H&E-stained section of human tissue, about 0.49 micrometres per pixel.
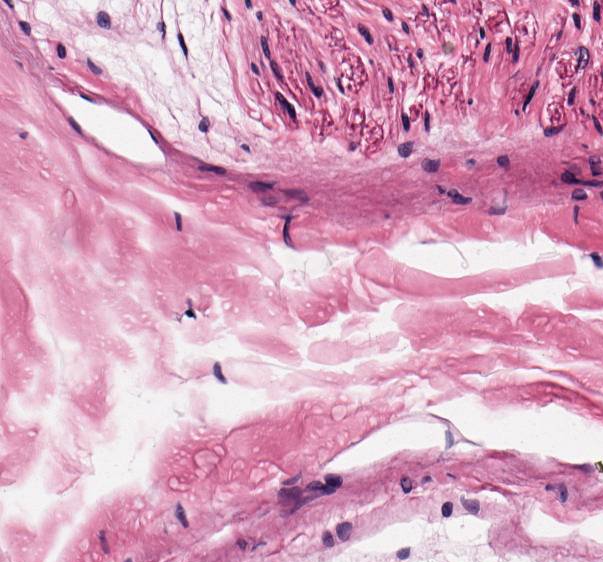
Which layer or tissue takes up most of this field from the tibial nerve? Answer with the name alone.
epineurium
